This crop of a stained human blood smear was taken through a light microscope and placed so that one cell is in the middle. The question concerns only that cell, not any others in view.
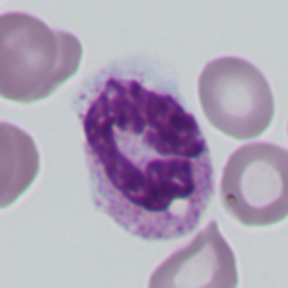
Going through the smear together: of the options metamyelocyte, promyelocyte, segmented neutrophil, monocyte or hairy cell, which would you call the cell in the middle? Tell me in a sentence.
This crop is built around a segmented neutrophil at its centre.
